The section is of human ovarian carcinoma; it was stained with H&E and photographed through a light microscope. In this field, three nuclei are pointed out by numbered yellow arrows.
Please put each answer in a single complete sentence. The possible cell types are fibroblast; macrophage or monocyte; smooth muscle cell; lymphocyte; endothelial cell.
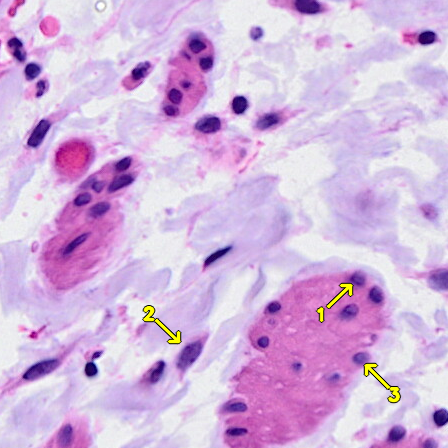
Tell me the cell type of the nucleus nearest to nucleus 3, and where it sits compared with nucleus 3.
The nearest nucleus is that of a smooth muscle cell and lies below and to the left of nucleus 3.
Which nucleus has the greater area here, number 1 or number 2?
At about 4 times the area of nucleus 1, nucleus 2 is the larger of the two.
